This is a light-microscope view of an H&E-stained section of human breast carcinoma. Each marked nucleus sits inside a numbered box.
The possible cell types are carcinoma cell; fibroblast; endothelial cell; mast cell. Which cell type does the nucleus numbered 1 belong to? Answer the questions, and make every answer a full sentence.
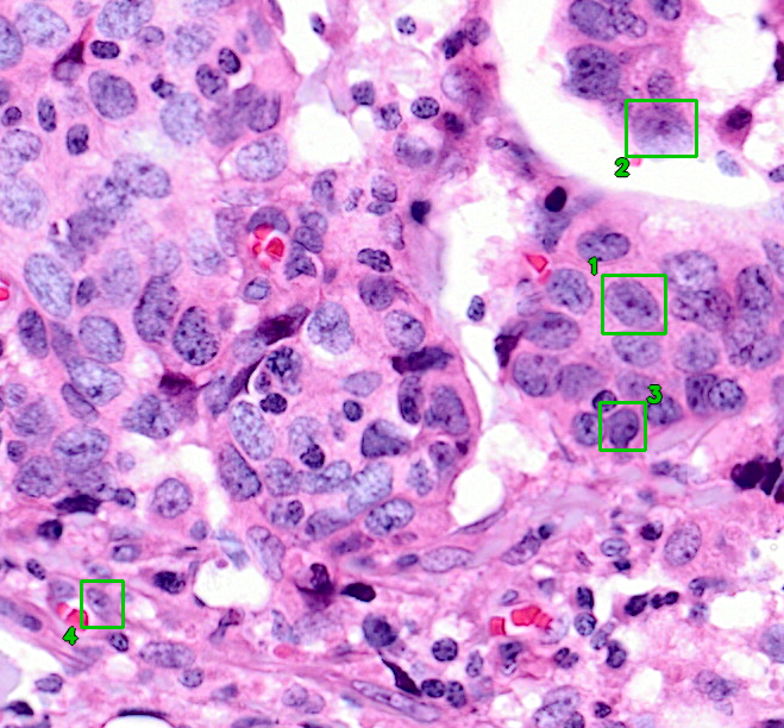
Looking at the numbered marks, cell 1 is a carcinoma cell.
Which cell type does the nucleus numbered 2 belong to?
Marked with the number 2, this cell is a carcinoma cell.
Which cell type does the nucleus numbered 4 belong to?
The cell referenced by the number 4 is an endothelial cell in this field.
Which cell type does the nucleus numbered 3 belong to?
Recognised here as a carcinoma cell is the cell numbered 3.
